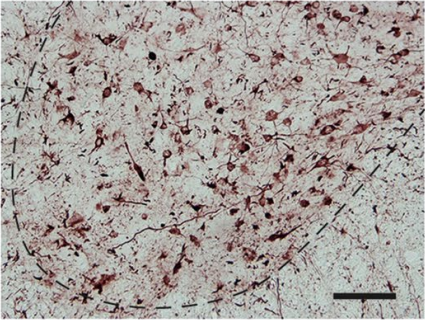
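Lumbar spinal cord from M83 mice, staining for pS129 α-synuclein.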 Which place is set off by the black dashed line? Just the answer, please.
ventral horn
